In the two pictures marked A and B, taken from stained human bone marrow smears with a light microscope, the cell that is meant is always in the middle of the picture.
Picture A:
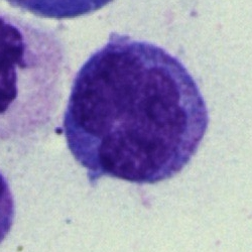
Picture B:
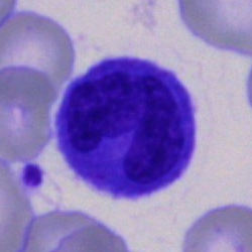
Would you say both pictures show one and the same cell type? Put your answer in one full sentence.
Yes; the cells in both pictures are monocytes.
